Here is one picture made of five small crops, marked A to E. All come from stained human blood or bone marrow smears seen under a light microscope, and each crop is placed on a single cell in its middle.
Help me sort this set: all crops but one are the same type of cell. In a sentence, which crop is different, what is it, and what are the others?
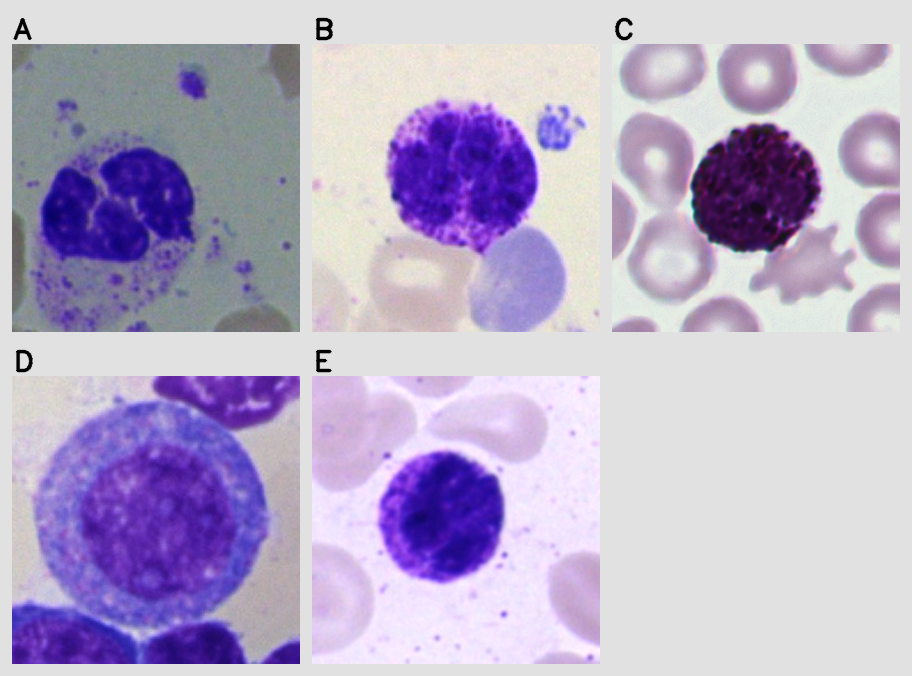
The different crop is crop D, a promyelocyte; all the others show basophils.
